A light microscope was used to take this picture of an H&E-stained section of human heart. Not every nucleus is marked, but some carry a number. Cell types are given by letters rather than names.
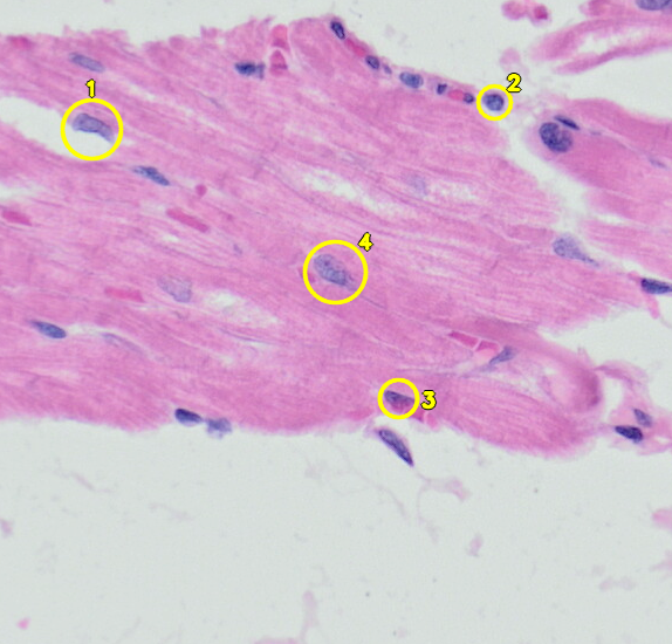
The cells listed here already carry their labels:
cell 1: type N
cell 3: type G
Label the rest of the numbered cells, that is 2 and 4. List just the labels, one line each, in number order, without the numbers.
type G
type N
